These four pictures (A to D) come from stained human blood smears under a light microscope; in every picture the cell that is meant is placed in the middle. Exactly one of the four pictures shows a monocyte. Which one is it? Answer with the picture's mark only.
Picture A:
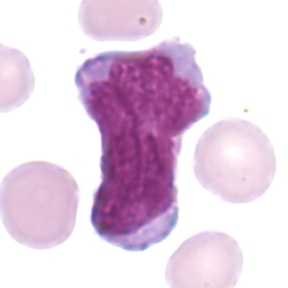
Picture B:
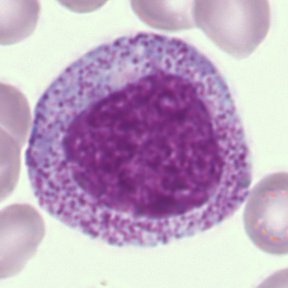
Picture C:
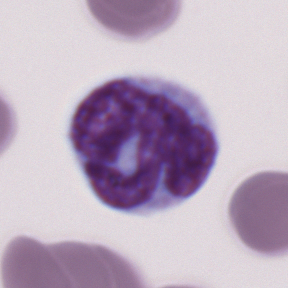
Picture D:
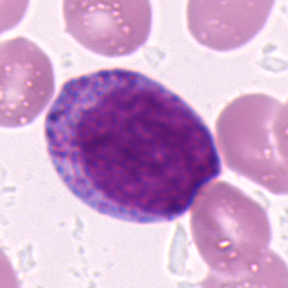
C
